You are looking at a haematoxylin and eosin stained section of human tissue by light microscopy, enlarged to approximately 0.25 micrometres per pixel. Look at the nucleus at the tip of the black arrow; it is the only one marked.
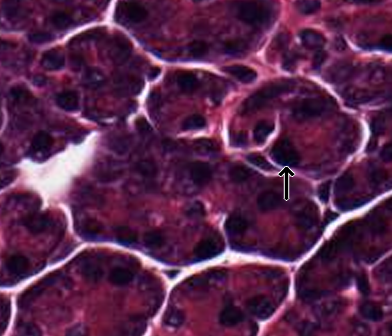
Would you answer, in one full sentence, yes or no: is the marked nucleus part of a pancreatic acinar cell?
Yes, the cell to which the marked nucleus belongs is a pancreatic acinar cell.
